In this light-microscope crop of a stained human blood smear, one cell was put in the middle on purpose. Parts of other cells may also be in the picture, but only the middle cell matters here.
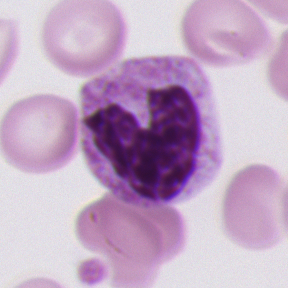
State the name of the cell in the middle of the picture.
band neutrophil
